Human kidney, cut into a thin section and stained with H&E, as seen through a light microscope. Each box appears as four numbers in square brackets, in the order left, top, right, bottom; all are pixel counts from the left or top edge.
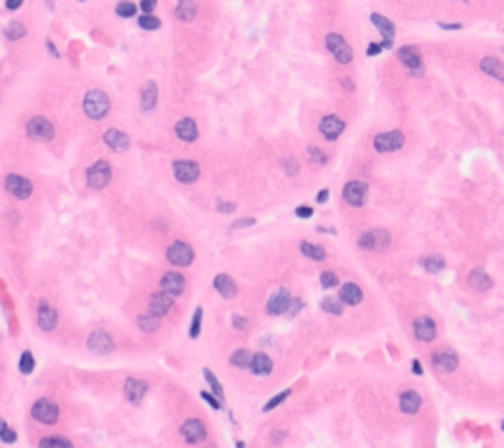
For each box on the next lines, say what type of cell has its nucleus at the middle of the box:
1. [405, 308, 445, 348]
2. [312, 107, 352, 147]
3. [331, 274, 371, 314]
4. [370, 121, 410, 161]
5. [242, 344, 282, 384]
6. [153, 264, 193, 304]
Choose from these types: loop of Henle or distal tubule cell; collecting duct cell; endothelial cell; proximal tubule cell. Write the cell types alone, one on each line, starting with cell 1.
proximal tubule cell
proximal tubule cell
loop of Henle or distal tubule cell
proximal tubule cell
loop of Henle or distal tubule cell
proximal tubule cell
